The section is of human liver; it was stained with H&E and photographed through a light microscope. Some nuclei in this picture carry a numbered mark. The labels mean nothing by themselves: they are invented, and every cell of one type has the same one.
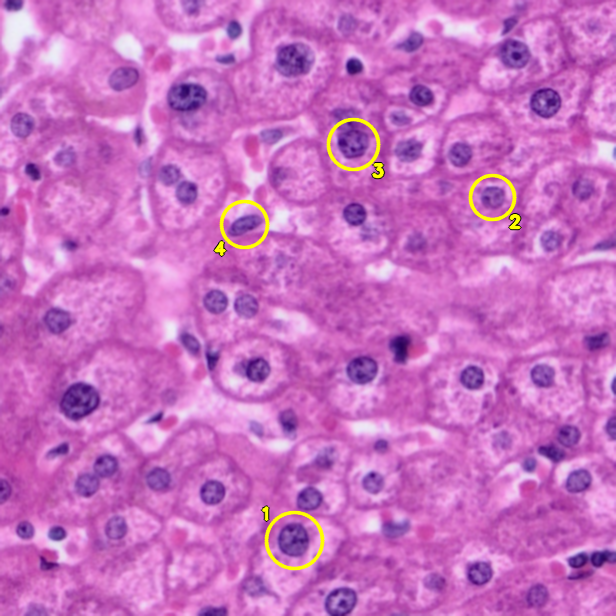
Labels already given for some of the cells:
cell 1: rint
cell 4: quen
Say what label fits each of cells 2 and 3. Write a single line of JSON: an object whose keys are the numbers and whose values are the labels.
{"2": "rint", "3": "rint"}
